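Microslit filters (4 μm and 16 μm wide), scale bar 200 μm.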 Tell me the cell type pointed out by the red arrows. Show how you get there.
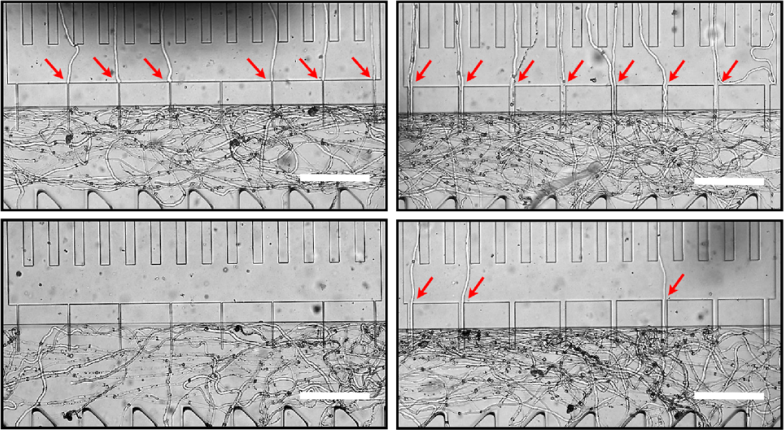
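Long, thin, unbranched tubular filaments run upward through narrow vertical channels. Many similar tangled tubular filaments fill the lower region below the channels. The answer: pollen tubes.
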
